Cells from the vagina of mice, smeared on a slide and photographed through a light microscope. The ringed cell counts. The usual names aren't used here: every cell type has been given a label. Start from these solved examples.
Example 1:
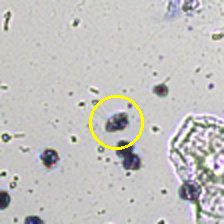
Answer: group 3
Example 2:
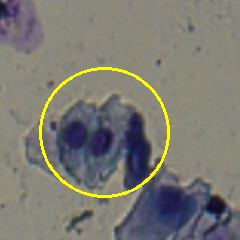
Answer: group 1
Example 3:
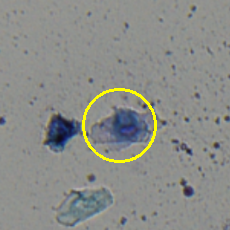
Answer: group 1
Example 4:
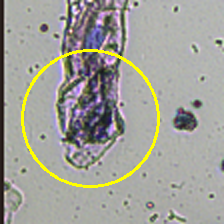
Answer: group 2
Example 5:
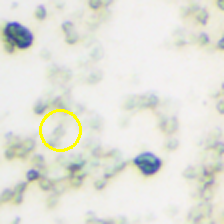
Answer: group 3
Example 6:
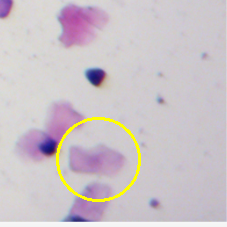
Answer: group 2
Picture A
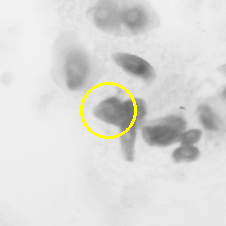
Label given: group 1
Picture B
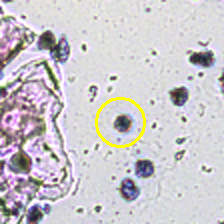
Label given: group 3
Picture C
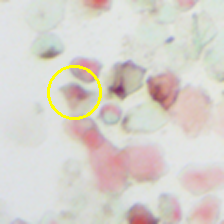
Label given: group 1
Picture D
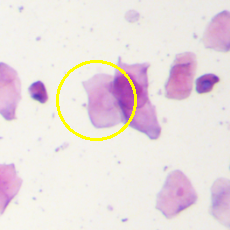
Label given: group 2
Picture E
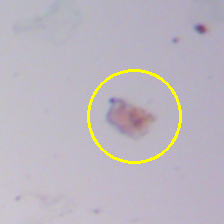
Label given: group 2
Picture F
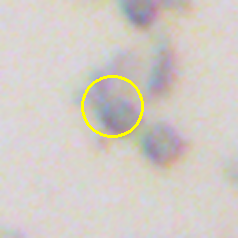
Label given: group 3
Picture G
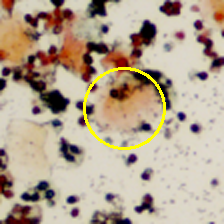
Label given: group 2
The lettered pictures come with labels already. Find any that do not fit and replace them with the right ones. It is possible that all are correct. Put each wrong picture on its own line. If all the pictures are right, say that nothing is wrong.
Nothing to fix; every label fits.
